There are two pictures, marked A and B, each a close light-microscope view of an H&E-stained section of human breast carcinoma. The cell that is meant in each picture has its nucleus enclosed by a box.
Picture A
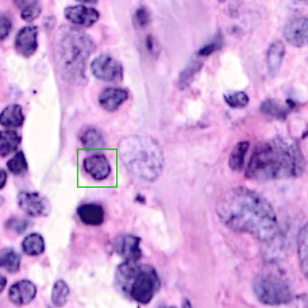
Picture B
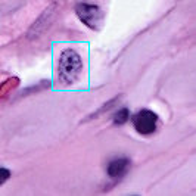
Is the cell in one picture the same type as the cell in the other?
no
